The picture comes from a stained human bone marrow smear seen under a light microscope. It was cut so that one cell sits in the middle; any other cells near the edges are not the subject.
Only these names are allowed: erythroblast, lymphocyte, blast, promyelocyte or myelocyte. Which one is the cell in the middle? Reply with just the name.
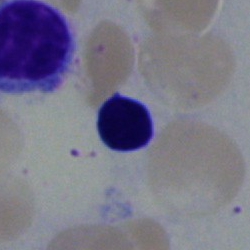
erythroblast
